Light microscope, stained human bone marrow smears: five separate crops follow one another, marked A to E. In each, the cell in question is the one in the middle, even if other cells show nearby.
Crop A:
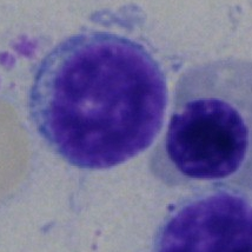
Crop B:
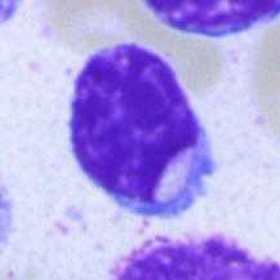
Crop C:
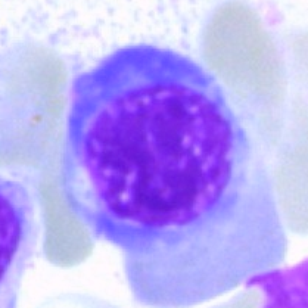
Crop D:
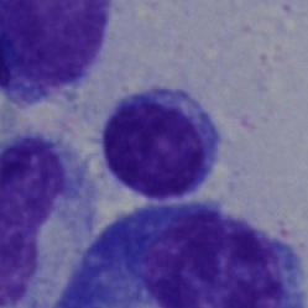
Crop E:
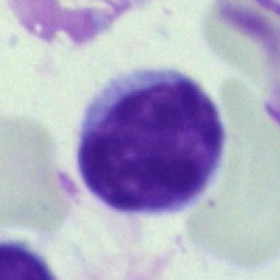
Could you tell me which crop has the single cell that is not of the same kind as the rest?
C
